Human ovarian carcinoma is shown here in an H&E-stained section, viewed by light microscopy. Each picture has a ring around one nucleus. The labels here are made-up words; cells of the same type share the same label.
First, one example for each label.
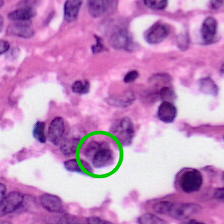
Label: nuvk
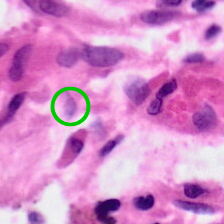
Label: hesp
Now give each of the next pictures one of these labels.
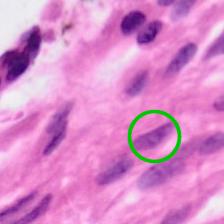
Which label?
hesp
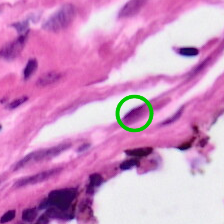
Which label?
hesp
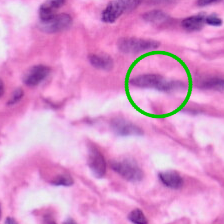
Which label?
hesp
